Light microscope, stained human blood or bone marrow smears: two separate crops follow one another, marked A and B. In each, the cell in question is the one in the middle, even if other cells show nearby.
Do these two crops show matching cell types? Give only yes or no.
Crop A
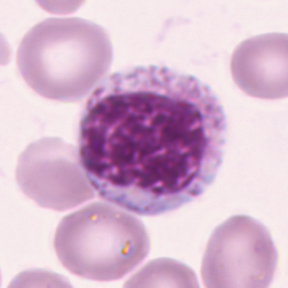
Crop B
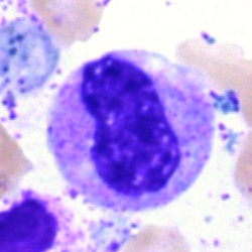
yes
